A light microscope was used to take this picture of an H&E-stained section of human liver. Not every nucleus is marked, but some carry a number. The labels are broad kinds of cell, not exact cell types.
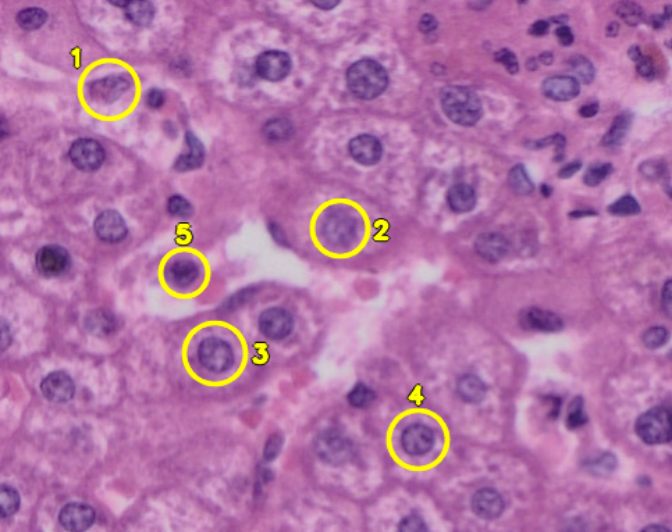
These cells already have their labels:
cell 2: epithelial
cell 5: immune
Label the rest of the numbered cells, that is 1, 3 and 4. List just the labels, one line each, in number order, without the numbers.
immune
epithelial
epithelial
